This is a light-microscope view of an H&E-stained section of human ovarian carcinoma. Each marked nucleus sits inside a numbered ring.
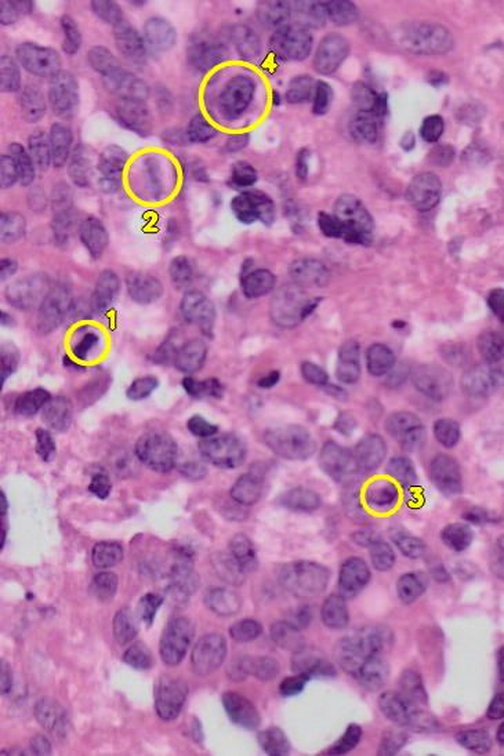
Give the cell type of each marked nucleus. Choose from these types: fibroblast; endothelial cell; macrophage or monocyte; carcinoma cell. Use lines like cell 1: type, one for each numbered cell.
cell 1: carcinoma cell
cell 2: macrophage or monocyte
cell 3: carcinoma cell
cell 4: carcinoma cell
